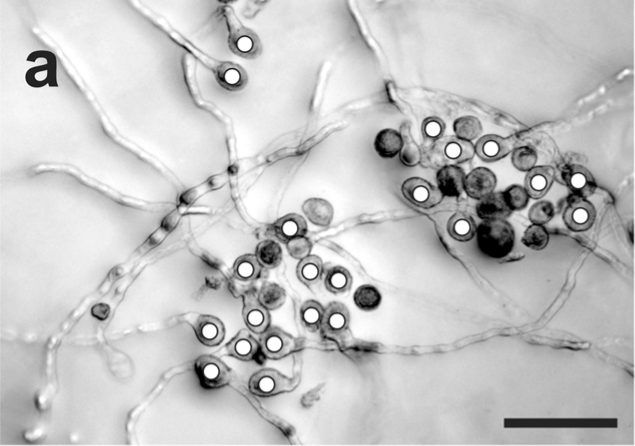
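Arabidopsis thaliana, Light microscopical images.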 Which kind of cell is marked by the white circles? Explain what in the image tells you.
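Clusters of small round grains with dark granular contents. Long, thin tubes run from many of the marked grains across the medium.
Conclusion: pollen grains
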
